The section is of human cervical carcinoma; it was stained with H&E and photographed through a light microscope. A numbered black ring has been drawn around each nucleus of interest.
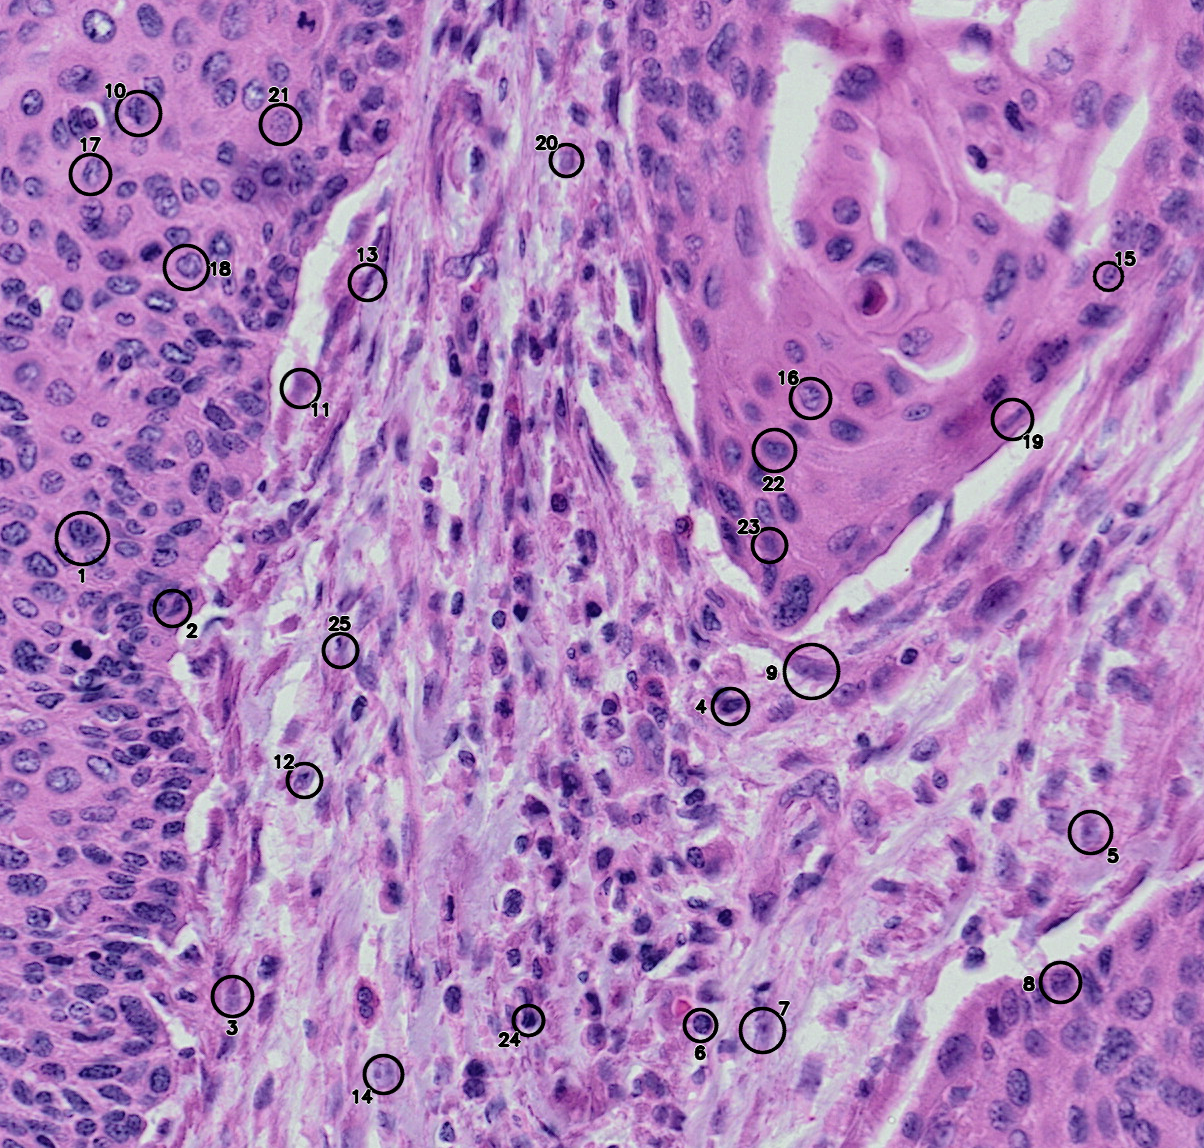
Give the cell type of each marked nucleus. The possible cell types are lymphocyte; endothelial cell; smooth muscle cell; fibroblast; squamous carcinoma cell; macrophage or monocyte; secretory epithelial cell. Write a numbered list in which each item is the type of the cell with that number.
1. squamous carcinoma cell
2. squamous carcinoma cell
3. fibroblast
4. lymphocyte
5. fibroblast
6. lymphocyte
7. fibroblast
8. squamous carcinoma cell
9. fibroblast
10. squamous carcinoma cell
11. fibroblast
12. fibroblast
13. fibroblast
14. fibroblast
15. squamous carcinoma cell
16. squamous carcinoma cell
17. squamous carcinoma cell
18. squamous carcinoma cell
19. squamous carcinoma cell
20. fibroblast
21. squamous carcinoma cell
22. squamous carcinoma cell
23. squamous carcinoma cell
24. lymphocyte
25. fibroblast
